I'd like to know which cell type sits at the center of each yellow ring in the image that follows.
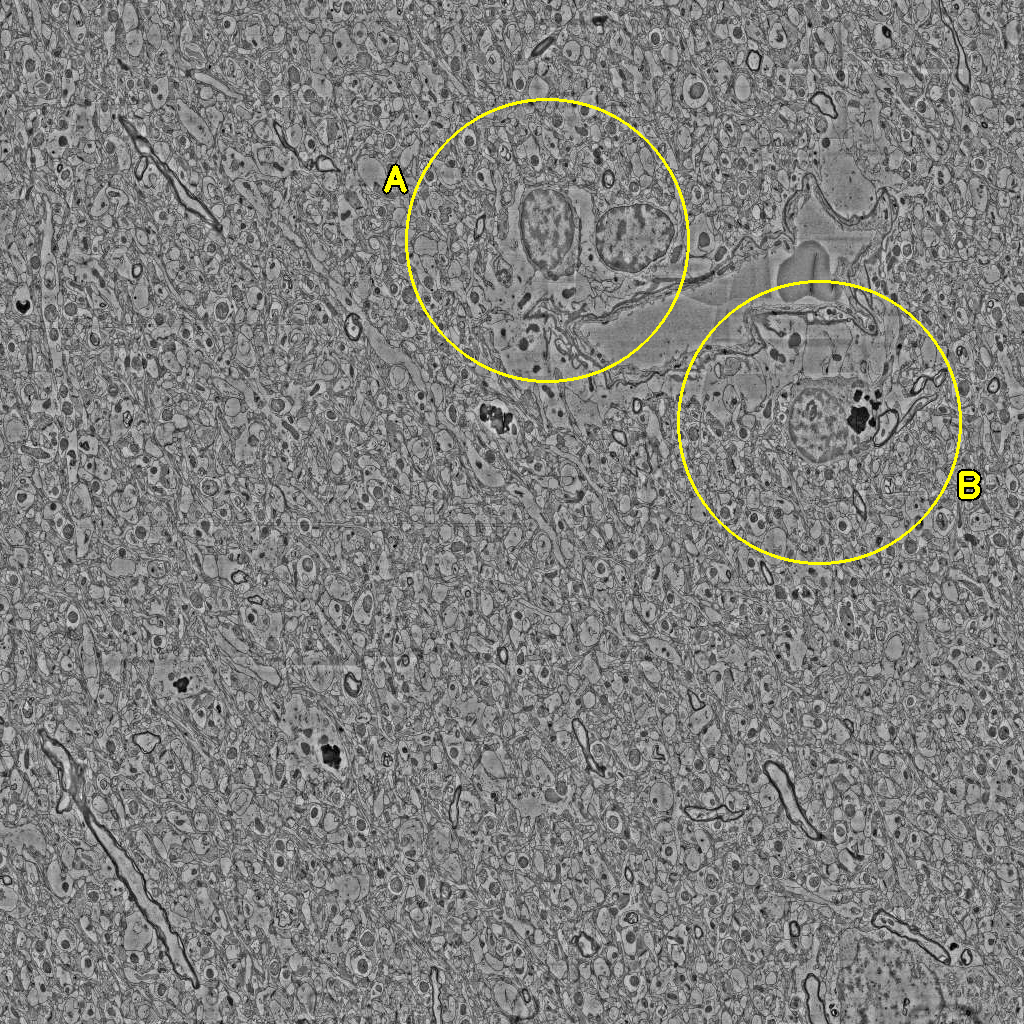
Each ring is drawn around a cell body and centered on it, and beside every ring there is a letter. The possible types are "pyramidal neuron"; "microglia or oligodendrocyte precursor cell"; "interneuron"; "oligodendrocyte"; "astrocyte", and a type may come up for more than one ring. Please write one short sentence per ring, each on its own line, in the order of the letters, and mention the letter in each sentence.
The cell at the center of ring A is an oligodendrocyte.
The cell at the center of ring B is an oligodendrocyte.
